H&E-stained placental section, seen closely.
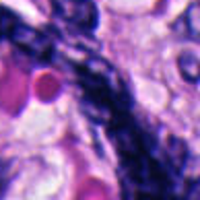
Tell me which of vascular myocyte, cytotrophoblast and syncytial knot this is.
The picture shows a syncytial knot.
